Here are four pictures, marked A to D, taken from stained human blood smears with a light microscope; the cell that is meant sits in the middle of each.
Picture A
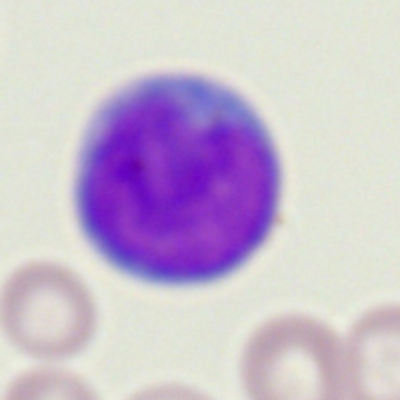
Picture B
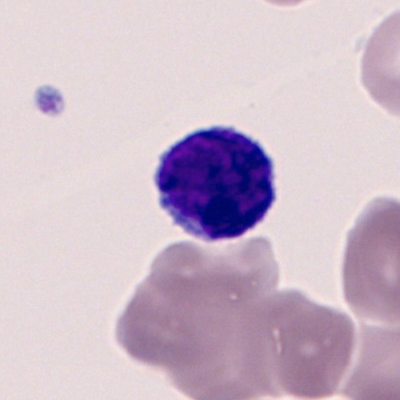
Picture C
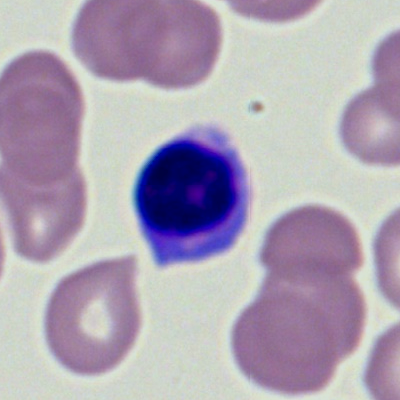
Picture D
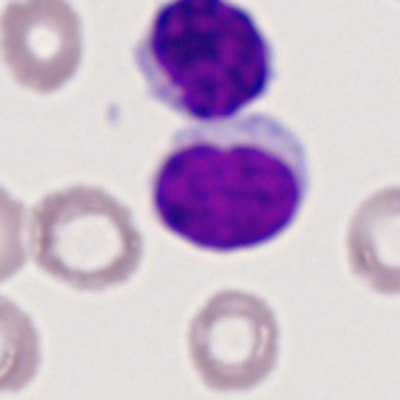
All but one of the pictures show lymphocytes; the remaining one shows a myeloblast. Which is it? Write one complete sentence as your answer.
The picture with the myeloblast is A.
